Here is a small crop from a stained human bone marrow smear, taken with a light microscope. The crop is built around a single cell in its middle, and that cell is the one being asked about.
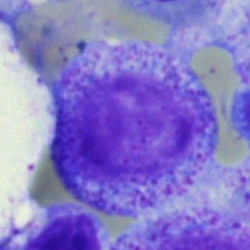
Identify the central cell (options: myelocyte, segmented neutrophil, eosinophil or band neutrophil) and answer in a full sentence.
The cell at the heart of this crop is a myelocyte.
